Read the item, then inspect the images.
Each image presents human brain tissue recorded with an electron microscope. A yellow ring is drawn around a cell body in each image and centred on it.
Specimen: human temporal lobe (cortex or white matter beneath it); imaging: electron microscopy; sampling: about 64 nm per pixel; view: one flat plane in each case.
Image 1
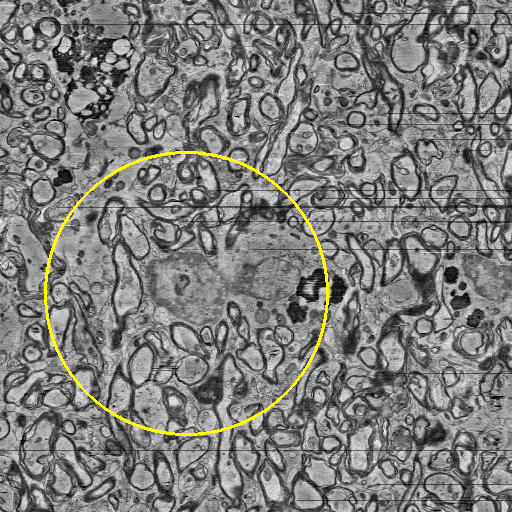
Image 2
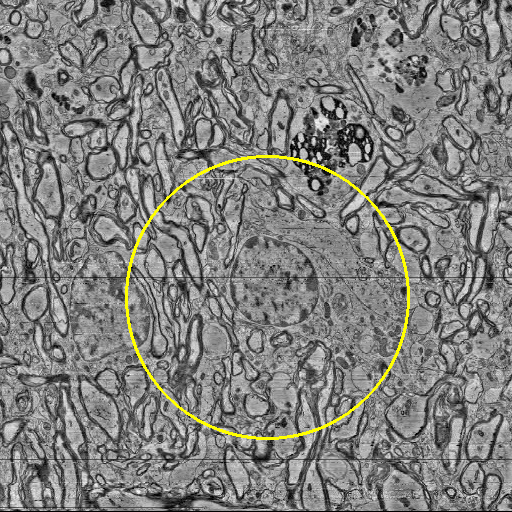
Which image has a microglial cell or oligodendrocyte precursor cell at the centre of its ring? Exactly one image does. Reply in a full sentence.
The ring in Image 2 is centred on it.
